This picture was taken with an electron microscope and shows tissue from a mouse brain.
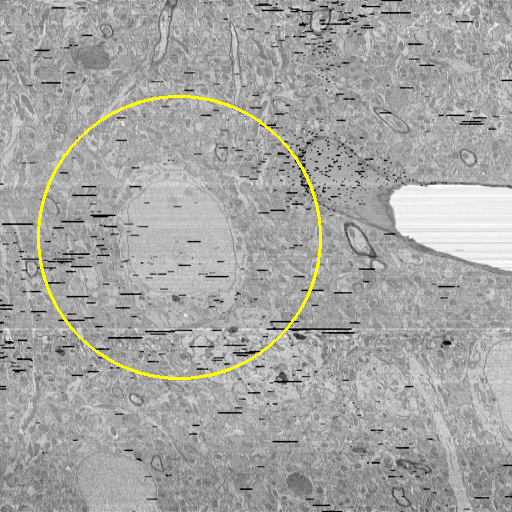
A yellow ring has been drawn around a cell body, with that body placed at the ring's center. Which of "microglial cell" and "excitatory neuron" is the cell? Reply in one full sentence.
In this picture, an excitatory neuron is the cell at the center of the yellow ring.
